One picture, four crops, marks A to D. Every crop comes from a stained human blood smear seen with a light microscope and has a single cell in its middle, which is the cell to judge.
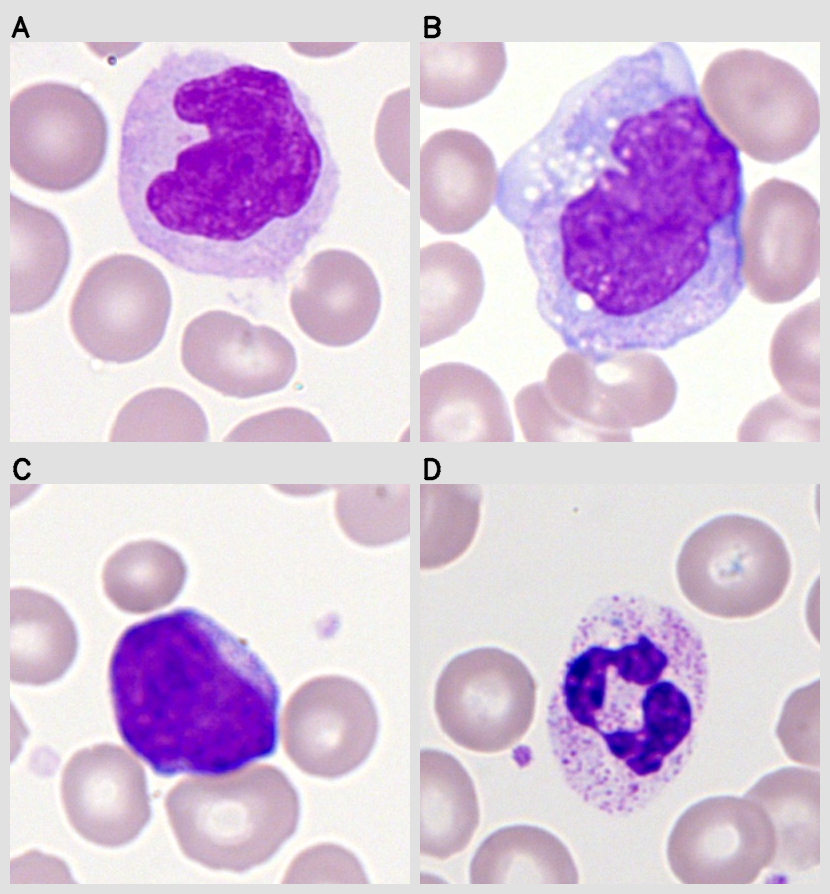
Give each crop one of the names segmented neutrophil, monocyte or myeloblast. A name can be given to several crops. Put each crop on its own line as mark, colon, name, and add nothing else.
A: monocyte
B: monocyte
C: myeloblast
D: segmented neutrophil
